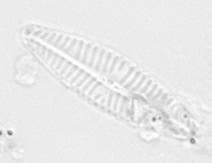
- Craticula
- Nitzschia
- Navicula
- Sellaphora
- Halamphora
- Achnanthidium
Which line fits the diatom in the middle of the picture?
Navicula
